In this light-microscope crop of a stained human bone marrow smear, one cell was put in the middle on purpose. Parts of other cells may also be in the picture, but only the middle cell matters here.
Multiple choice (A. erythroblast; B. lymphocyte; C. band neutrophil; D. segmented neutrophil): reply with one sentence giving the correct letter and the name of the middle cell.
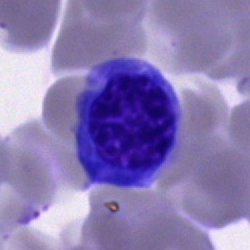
Of the options given, A is correct, the central cell being an erythroblast.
